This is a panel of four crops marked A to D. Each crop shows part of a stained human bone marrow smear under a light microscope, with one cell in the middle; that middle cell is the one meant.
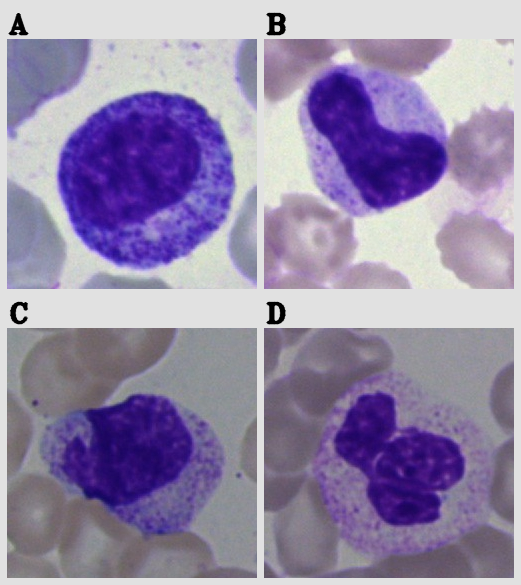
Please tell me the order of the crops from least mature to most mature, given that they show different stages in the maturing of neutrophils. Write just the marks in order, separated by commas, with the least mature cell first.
A, C, B, D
